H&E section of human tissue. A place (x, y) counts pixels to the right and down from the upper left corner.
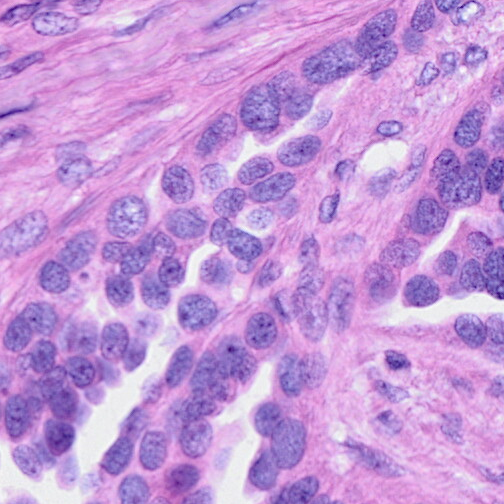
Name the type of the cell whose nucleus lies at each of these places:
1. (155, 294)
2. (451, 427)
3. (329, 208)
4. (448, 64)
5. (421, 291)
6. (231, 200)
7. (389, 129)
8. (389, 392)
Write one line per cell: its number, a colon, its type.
1: carcinoma cell
2: fibroblast
3: fibroblast
4: fibroblast
5: carcinoma cell
6: carcinoma cell
7: fibroblast
8: fibroblast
